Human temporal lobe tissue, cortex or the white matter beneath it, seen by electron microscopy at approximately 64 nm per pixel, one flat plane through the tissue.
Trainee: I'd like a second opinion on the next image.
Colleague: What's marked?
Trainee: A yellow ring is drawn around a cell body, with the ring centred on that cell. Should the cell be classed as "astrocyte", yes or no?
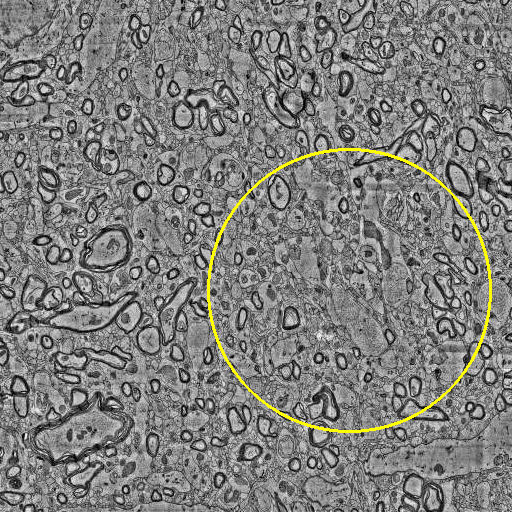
No, it should be classed as another kind.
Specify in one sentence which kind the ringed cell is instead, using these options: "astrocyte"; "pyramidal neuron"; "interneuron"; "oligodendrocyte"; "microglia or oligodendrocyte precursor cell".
The ring's central cell is an oligodendrocyte instead.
